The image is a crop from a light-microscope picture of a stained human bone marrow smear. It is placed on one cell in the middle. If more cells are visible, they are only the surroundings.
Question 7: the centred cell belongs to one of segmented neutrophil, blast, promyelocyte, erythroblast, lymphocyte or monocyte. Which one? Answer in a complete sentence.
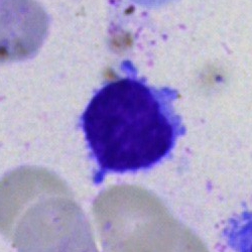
The cell at the middle of the frame should be recorded as a lymphocyte.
